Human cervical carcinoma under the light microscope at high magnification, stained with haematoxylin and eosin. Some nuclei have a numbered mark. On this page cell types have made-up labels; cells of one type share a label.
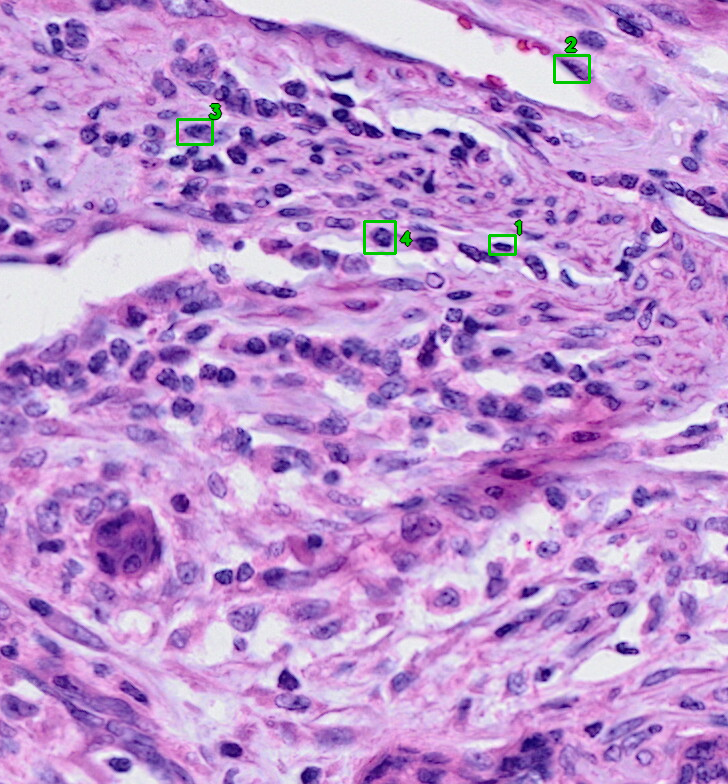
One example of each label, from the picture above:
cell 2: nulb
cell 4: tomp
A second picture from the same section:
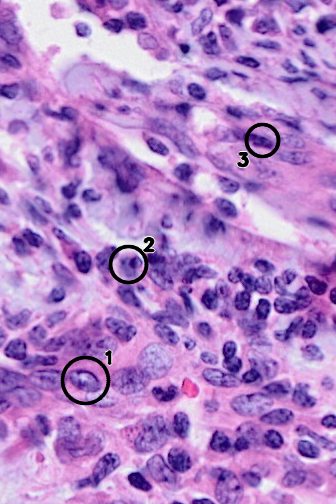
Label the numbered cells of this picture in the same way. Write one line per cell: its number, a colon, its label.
1: nulb
2: tomp
3: tomp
